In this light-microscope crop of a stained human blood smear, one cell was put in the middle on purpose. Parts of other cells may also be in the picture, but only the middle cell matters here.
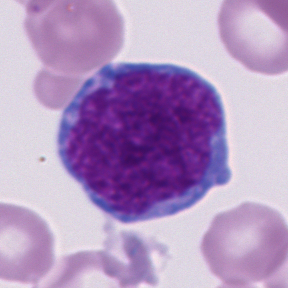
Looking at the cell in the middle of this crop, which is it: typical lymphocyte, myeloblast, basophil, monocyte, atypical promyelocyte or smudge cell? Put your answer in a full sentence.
In the middle of this smear crop, the cell is a myeloblast.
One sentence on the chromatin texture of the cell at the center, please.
Coarse clumps are absent, and the chromatin is fine throughout.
